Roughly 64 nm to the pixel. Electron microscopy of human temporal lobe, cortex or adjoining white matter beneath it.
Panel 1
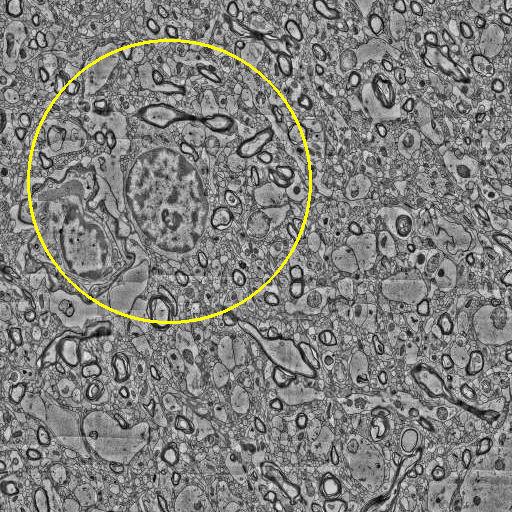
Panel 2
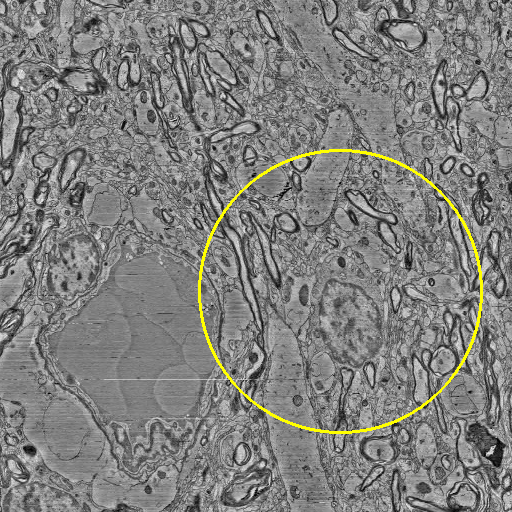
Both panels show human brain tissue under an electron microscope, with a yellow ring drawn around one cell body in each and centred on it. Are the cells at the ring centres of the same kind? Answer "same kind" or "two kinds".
same kind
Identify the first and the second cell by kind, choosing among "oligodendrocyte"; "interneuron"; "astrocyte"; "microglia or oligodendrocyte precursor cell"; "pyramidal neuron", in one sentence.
Both pictures show an oligodendrocyte at the centre of the ring.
